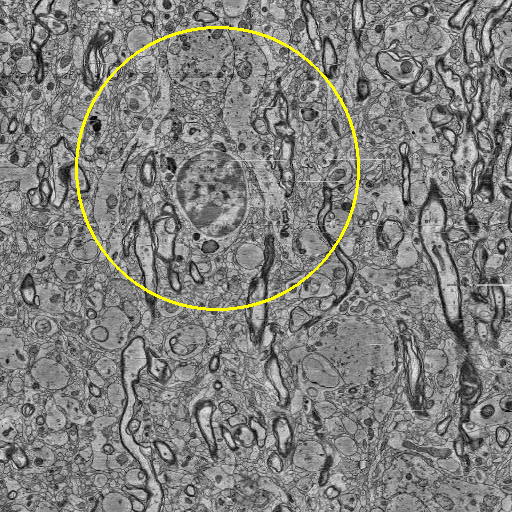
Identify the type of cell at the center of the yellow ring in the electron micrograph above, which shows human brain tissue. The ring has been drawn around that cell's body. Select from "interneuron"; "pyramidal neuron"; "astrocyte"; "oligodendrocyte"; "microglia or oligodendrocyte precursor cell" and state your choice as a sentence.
The yellow ring is centered on the body of a microglial cell or oligodendrocyte precursor cell.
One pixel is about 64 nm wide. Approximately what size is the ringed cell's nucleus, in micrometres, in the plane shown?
Roughly 6 by 4 micrometres in this plane, for the nucleus of the ringed cell.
